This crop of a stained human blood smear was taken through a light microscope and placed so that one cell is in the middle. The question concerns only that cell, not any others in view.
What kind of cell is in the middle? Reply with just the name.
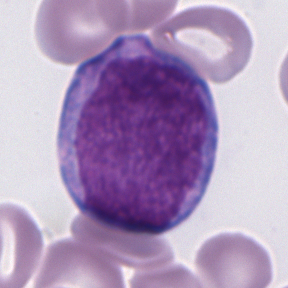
promyelocyte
